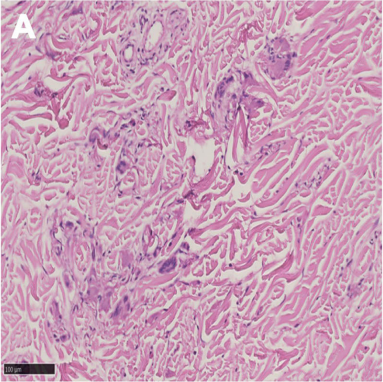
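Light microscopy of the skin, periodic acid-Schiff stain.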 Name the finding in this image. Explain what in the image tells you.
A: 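Clusters of nucleated cells, including multinucleated forms, sit between dermal fiber bundles. The infiltrate is interstitial among pink collagen.
Answer: granulomatous inflammatory infiltrate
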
